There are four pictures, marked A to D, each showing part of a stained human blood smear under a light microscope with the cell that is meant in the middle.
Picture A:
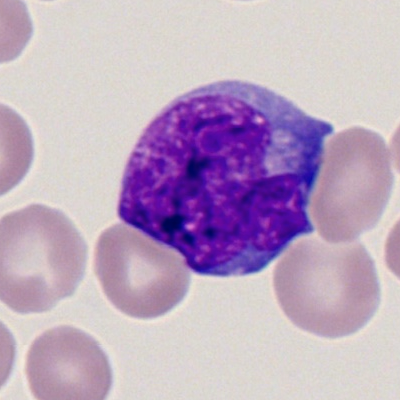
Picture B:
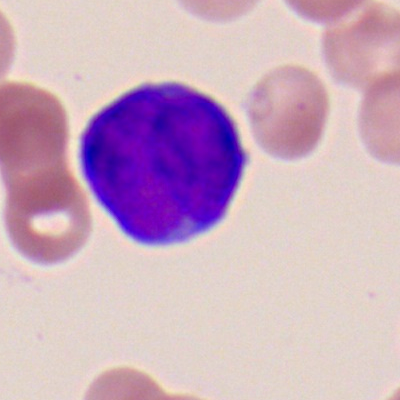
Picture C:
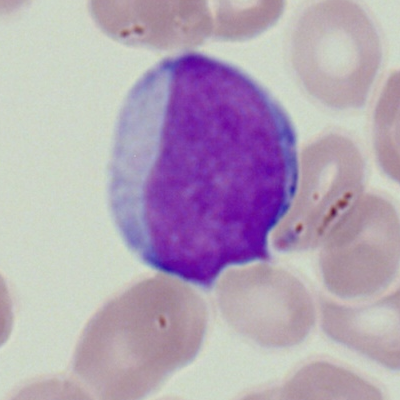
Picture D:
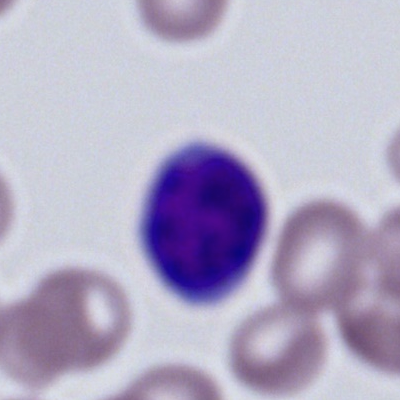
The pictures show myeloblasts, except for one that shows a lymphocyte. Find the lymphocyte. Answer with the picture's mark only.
D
